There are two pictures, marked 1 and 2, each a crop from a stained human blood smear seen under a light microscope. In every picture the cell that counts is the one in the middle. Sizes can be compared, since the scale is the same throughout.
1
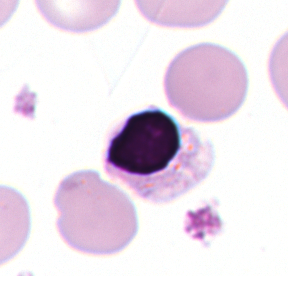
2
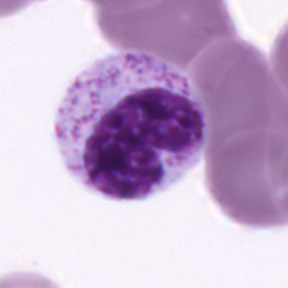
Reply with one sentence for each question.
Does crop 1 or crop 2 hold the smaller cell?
It is the cell in crop 1; the cell in crop 2 has about 2.5 times its area.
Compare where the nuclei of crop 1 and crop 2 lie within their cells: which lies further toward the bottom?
Seen within its cell, the nucleus in crop 2 lies further toward the bottom.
